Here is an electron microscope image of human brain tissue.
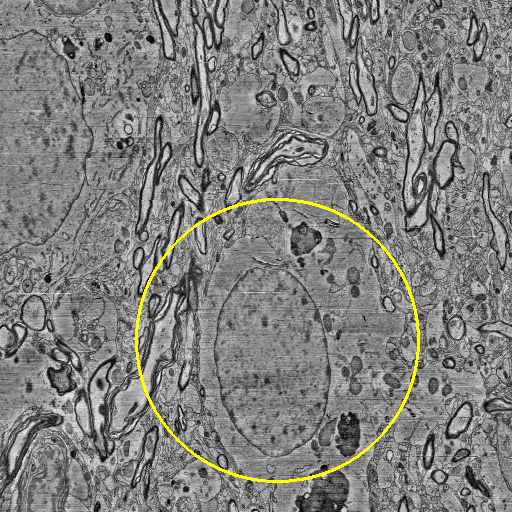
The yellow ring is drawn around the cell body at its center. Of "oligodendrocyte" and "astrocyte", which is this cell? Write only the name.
astrocyte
